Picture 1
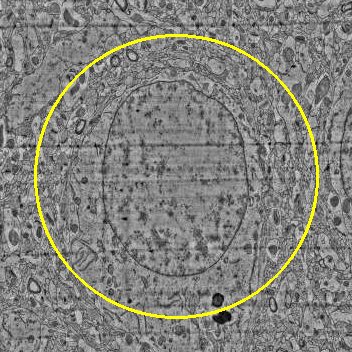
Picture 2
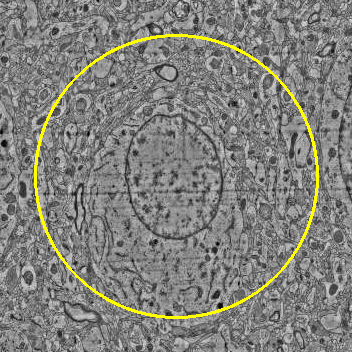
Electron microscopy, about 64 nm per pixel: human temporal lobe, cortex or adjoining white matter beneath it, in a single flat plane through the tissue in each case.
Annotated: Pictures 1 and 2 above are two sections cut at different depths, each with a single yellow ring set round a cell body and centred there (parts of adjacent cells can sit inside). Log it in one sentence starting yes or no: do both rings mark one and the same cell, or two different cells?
Yes, one and the same cell lies under both rings.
